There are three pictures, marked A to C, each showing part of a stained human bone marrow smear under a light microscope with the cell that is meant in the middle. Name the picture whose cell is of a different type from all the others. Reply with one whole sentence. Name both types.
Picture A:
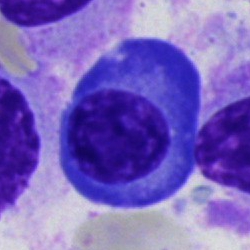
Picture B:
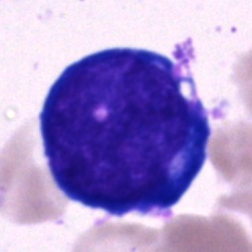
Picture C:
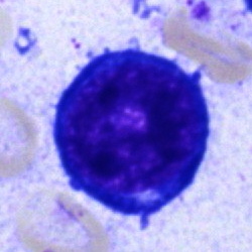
Unlike the rest, which show proerythroblasts, picture A shows a plasma cell.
